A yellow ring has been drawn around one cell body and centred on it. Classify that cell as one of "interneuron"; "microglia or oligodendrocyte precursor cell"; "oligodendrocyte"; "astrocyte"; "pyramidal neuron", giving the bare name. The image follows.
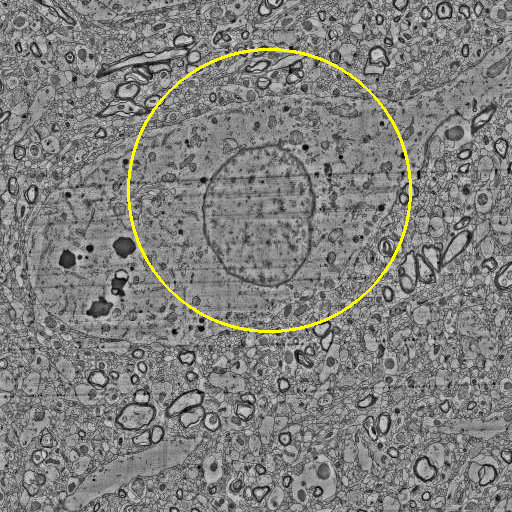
pyramidal neuron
